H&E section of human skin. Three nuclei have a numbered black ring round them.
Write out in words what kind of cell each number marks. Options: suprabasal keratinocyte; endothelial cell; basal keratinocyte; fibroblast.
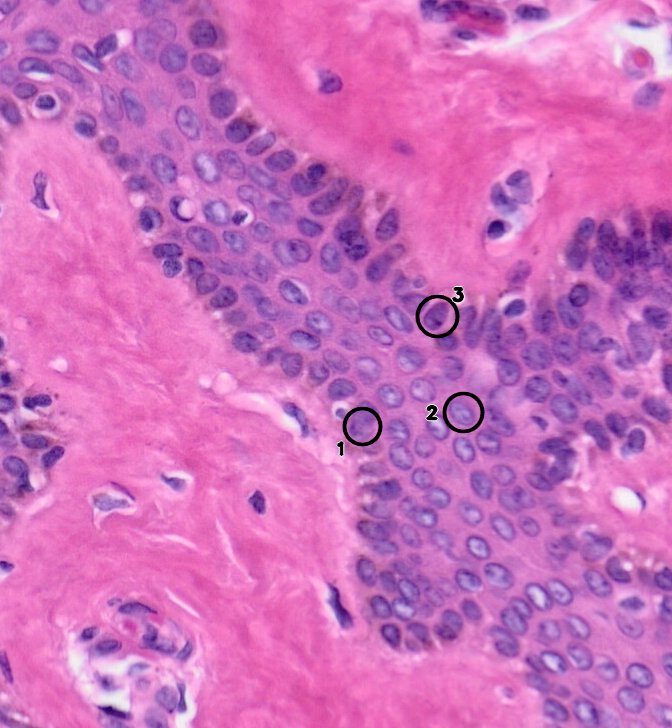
Cell 1 is a basal keratinocyte, cell 2 is a suprabasal keratinocyte and cell 3 is a basal keratinocyte.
